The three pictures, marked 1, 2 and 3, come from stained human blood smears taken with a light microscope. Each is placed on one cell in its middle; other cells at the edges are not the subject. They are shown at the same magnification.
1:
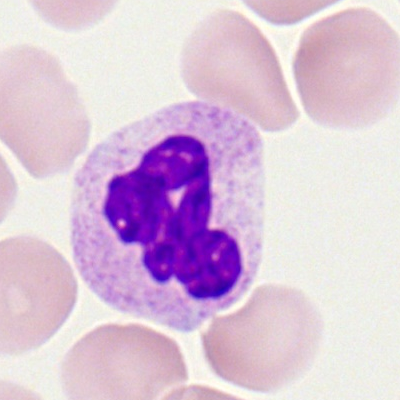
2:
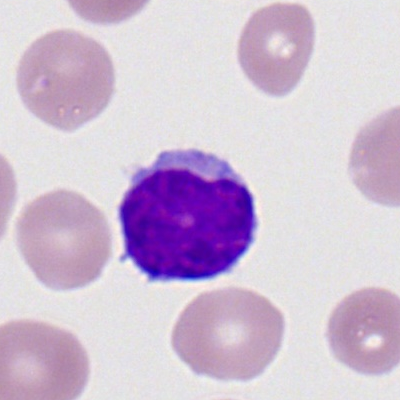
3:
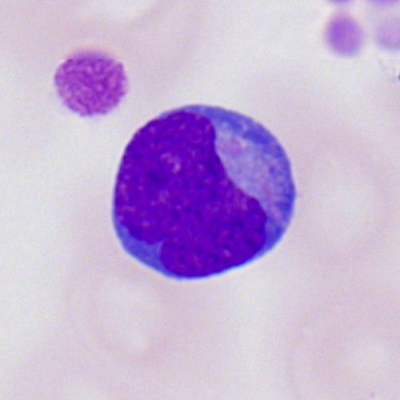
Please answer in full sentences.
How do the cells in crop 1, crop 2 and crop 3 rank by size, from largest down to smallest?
Going down, they run 1, 3, 2.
